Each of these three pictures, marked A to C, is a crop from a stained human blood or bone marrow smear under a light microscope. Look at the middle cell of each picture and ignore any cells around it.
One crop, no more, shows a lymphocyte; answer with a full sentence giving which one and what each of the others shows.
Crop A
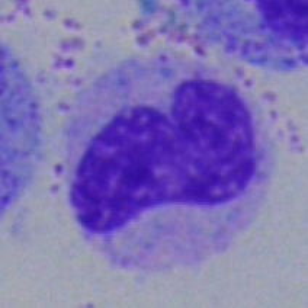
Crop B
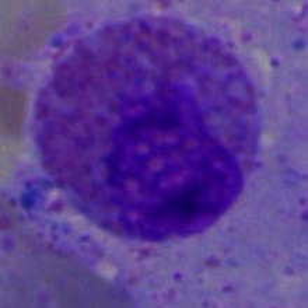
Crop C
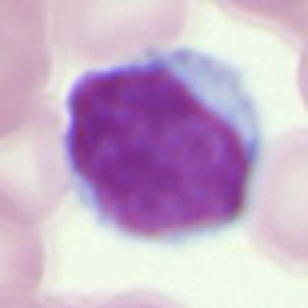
The centred cell in crop C is a lymphocyte; meanwhile, crop A is a band neutrophil and crop B is an eosinophil.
